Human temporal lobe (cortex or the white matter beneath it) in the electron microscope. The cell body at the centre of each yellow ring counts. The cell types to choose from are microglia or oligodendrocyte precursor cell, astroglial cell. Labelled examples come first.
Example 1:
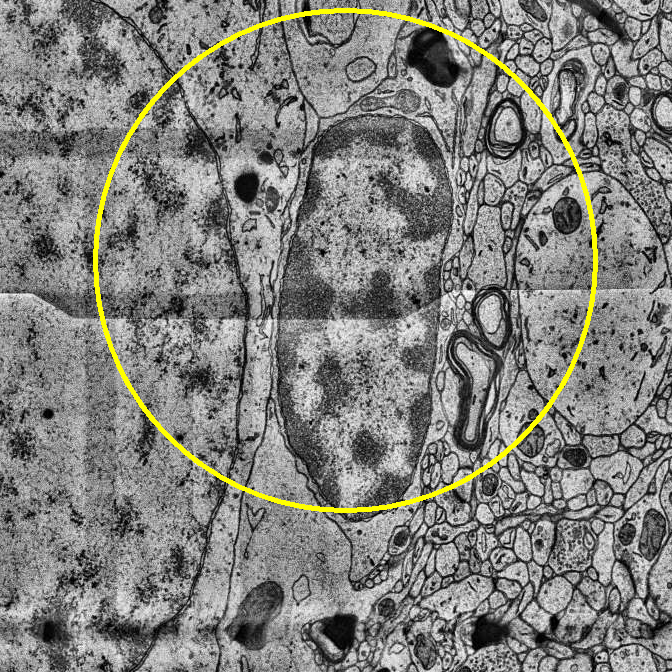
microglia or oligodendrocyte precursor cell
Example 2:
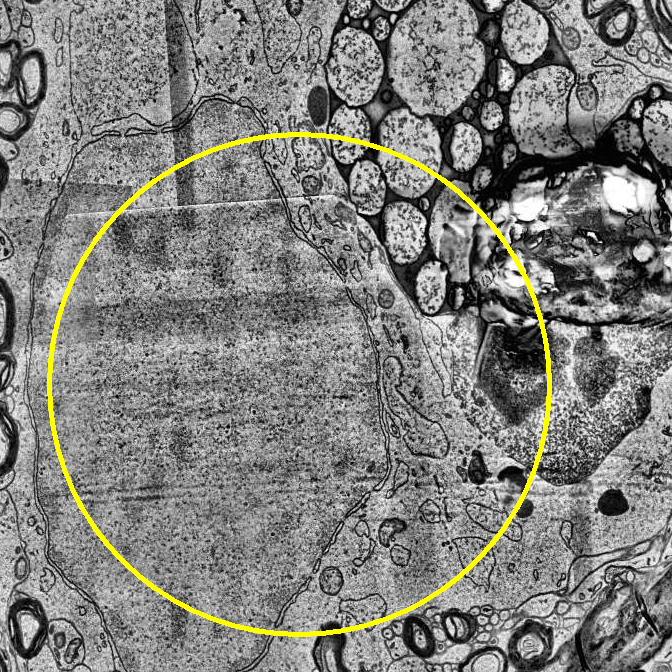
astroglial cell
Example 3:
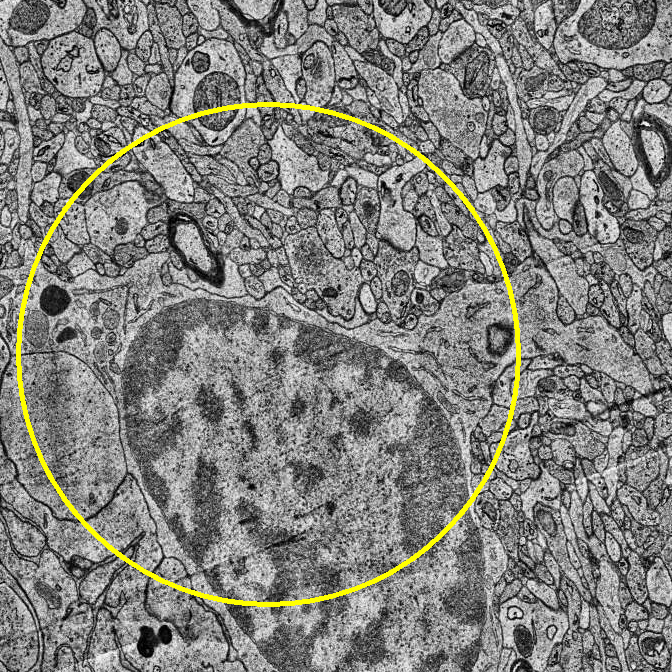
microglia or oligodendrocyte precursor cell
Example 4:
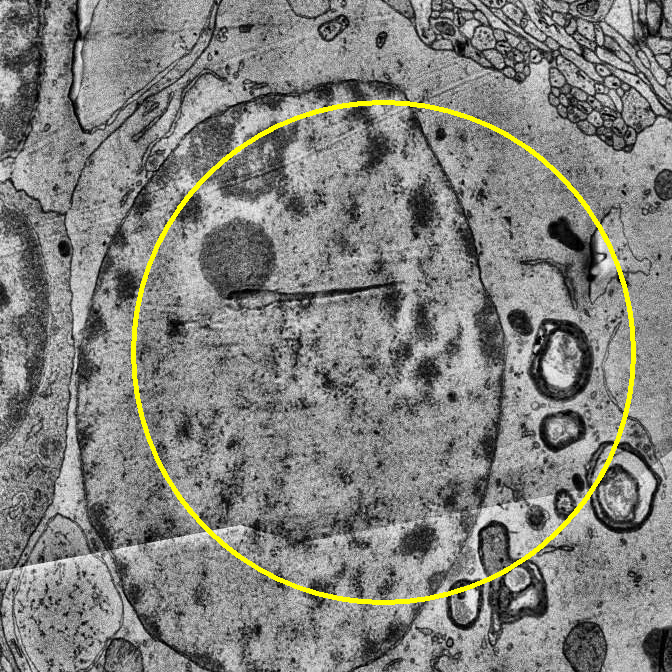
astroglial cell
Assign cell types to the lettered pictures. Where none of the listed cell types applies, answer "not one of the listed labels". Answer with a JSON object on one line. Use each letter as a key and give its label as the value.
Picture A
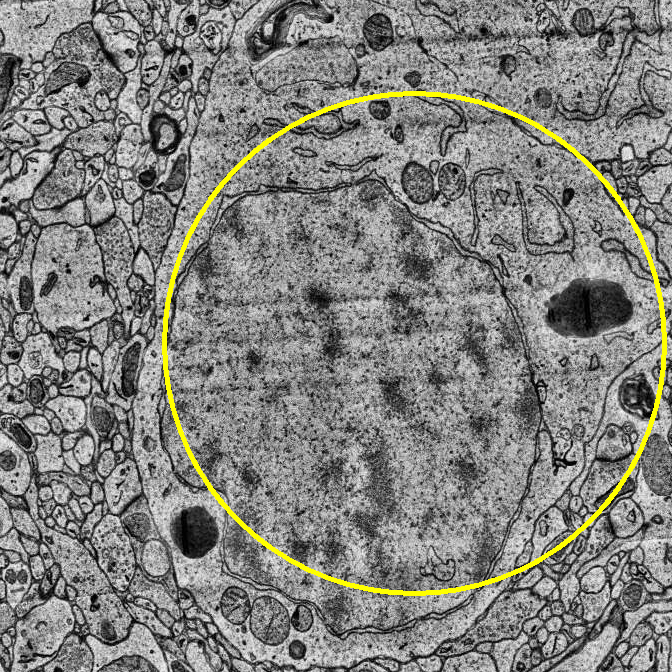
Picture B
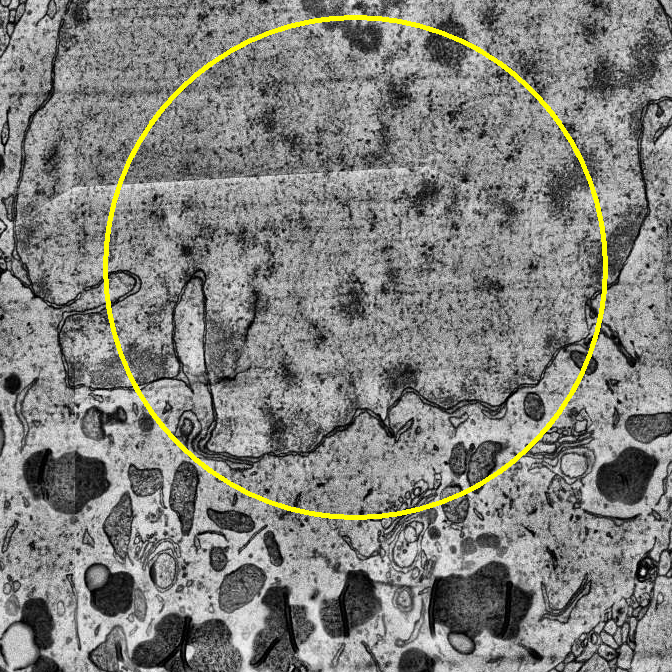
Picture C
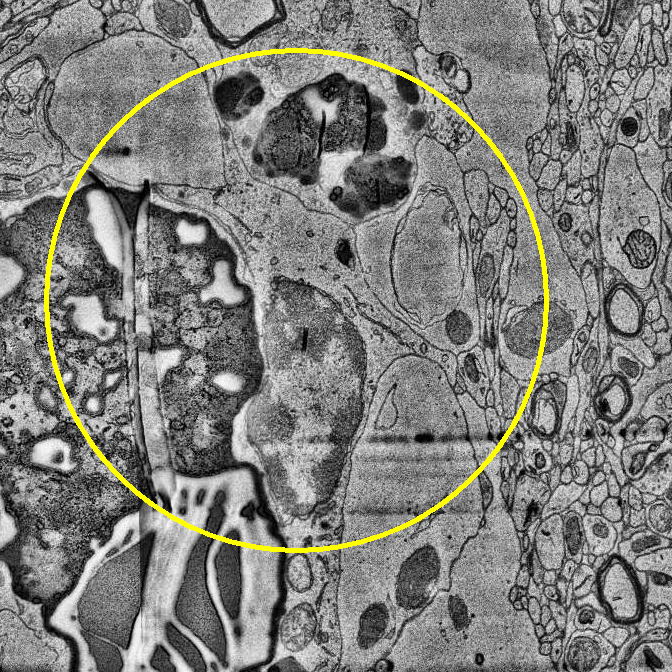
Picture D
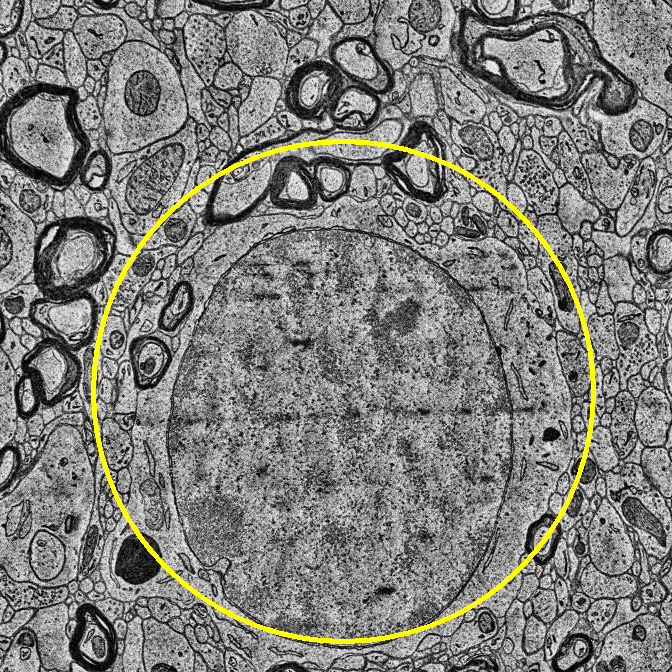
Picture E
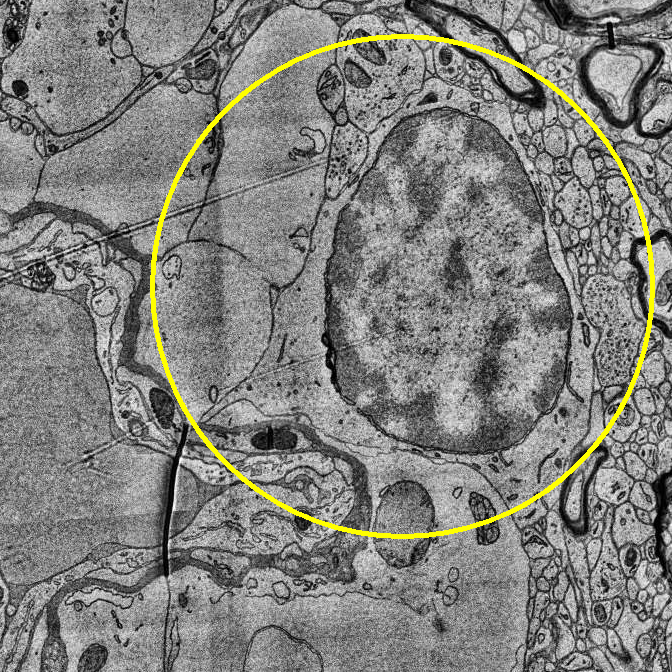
{"A": "not one of the listed labels", "B": "not one of the listed labels", "C": "microglia or oligodendrocyte precursor cell", "D": "microglia or oligodendrocyte precursor cell", "E": "microglia or oligodendrocyte precursor cell"}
